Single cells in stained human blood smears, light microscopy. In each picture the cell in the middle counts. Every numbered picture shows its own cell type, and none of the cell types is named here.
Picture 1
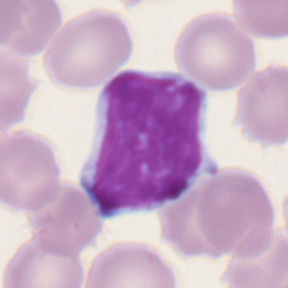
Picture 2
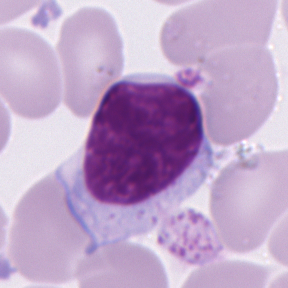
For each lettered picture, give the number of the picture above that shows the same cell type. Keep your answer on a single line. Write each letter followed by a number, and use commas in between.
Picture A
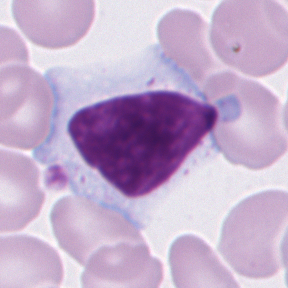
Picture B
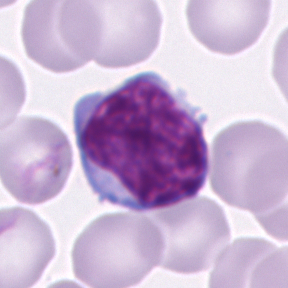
A 2, B 1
